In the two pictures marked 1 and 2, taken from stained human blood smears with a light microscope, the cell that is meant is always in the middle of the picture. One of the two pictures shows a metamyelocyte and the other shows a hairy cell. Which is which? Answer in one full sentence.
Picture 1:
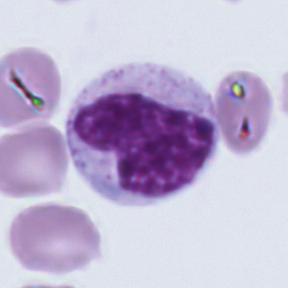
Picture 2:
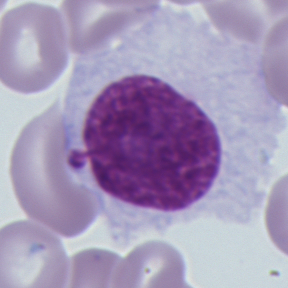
Picture 2 shows a hairy cell, while picture 1 shows a metamyelocyte.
